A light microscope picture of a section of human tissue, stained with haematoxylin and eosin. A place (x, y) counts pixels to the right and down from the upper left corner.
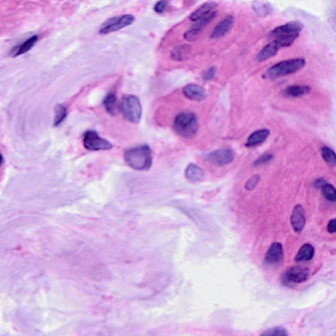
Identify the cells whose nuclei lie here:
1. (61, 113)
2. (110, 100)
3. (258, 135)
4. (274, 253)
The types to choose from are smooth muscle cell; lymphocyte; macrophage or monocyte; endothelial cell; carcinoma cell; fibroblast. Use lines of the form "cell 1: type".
cell 1: fibroblast
cell 2: endothelial cell
cell 3: smooth muscle cell
cell 4: smooth muscle cell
